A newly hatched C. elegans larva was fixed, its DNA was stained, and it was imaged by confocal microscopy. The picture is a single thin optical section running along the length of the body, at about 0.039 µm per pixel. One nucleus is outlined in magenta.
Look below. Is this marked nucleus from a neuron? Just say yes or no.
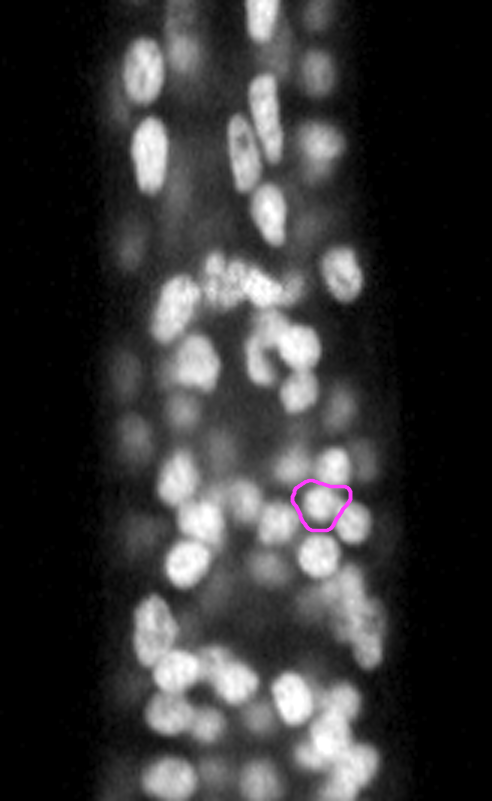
yes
